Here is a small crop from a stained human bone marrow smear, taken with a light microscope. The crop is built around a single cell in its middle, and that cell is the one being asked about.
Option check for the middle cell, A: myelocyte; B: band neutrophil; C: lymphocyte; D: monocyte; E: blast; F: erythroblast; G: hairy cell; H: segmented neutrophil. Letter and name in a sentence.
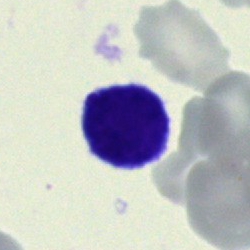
Option C is correct; the cell in the middle is a lymphocyte.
